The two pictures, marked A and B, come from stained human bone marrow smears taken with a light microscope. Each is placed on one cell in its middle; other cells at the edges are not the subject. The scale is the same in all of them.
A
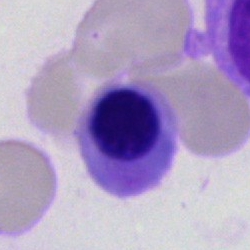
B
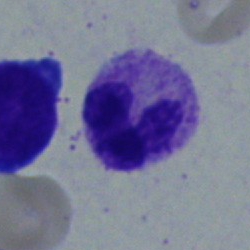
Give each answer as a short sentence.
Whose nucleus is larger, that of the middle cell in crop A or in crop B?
The nucleus in crop B is larger, with about 1.5 times the area of the one in crop A.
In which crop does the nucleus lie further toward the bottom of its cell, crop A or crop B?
In crop B the nucleus is shifted more toward the bottom.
